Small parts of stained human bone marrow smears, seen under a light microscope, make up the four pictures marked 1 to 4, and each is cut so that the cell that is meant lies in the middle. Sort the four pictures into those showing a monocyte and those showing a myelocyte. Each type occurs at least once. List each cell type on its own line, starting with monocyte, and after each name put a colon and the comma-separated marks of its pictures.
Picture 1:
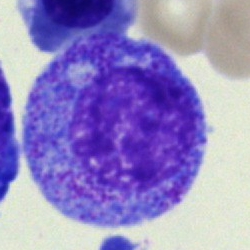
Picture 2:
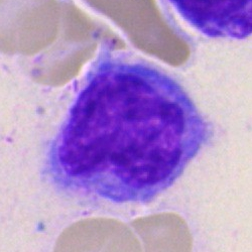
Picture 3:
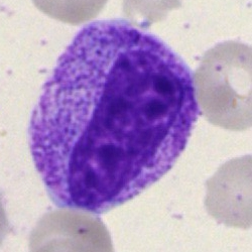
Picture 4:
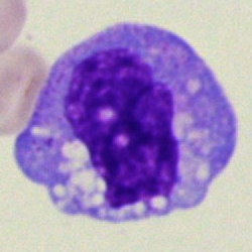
monocyte: 2, 4
myelocyte: 1, 3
